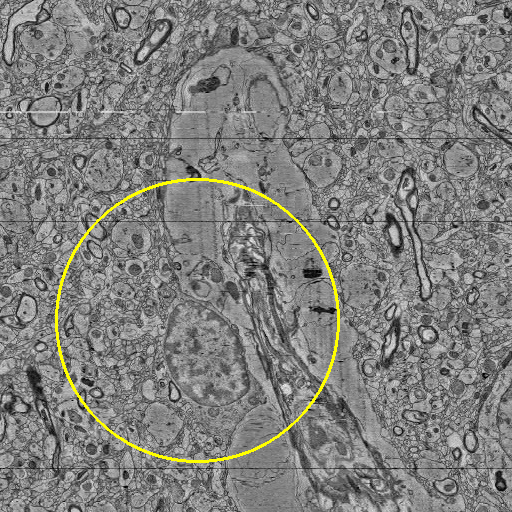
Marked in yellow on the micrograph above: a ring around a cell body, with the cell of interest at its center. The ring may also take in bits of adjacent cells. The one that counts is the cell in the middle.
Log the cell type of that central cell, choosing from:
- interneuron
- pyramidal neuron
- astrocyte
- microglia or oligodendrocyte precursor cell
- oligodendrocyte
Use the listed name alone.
oligodendrocyte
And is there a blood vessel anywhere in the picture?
Yes, the picture includes a blood vessel.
